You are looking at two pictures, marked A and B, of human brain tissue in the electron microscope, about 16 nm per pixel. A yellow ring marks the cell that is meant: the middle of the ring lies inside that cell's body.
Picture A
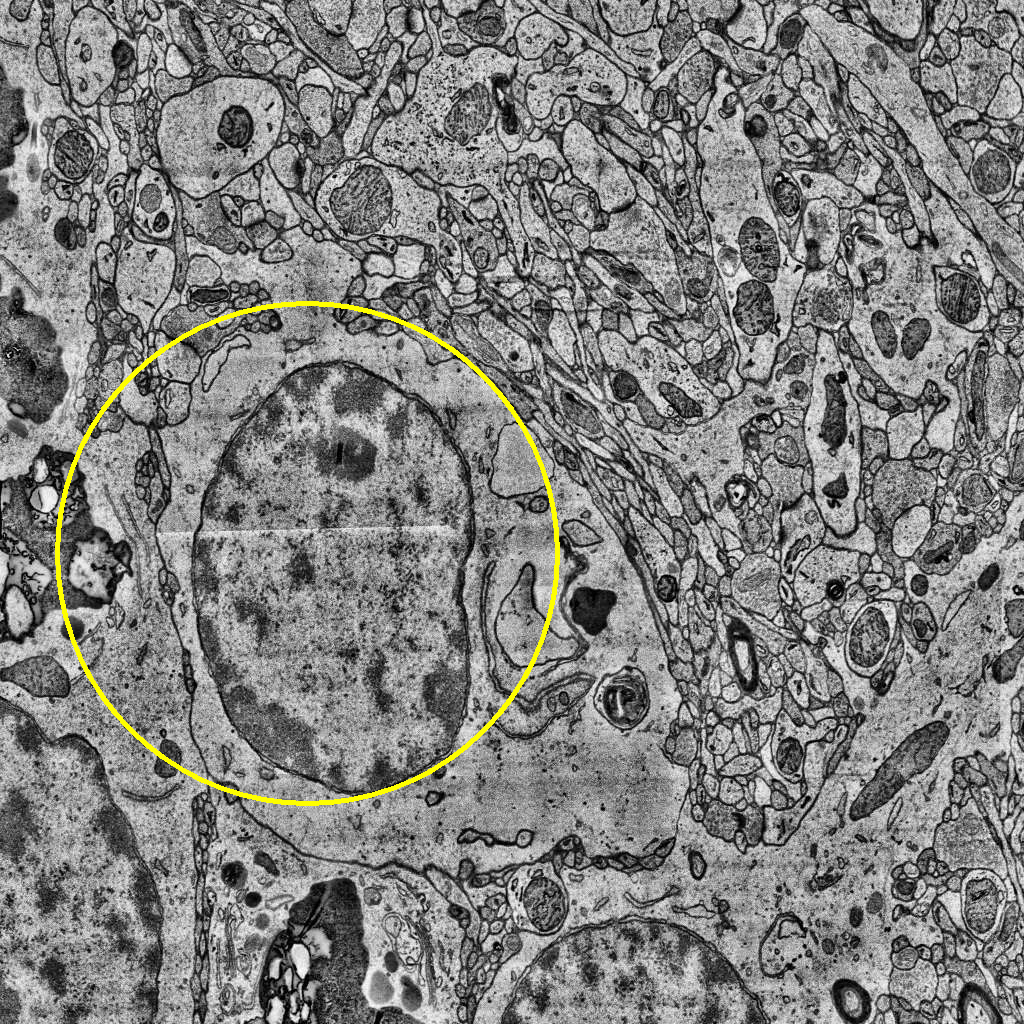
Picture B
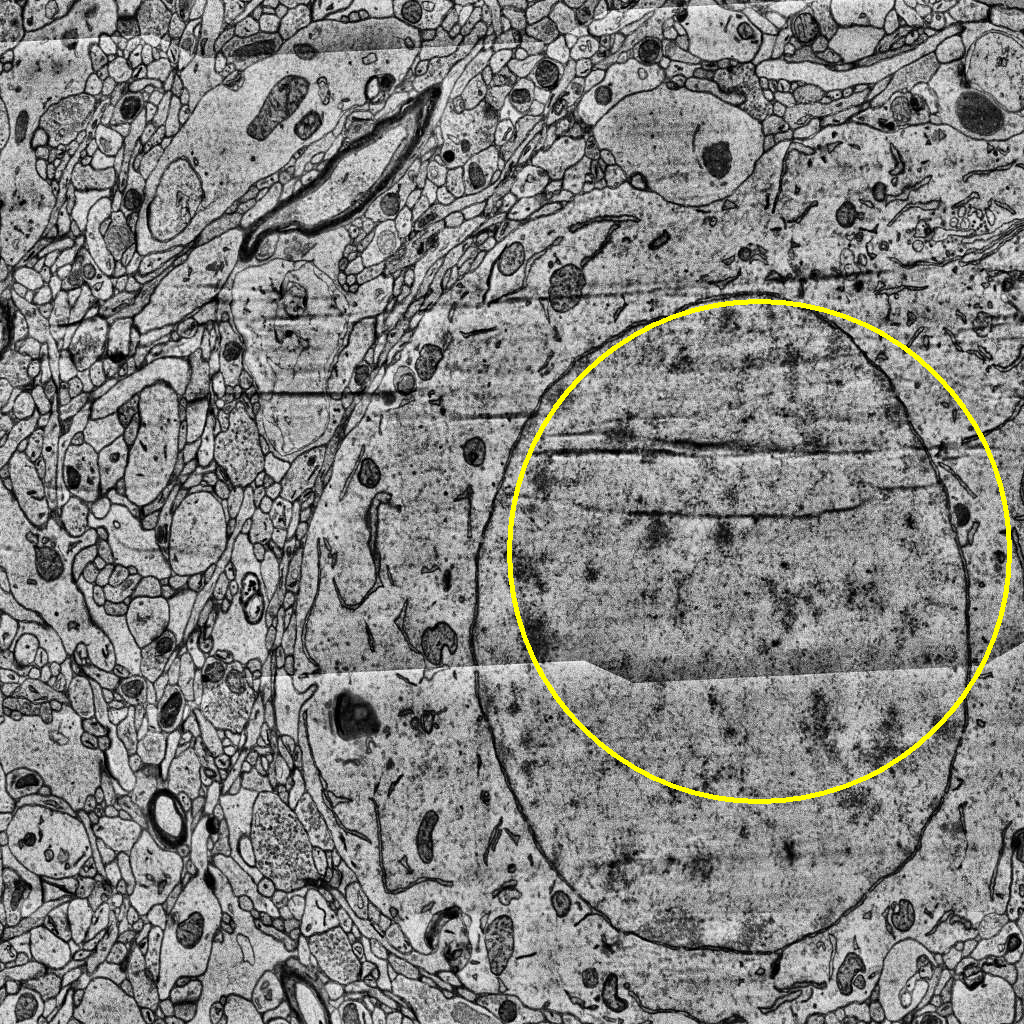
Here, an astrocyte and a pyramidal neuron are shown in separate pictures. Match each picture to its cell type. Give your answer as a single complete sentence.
Picture A shows an astrocyte and picture B shows a pyramidal neuron.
